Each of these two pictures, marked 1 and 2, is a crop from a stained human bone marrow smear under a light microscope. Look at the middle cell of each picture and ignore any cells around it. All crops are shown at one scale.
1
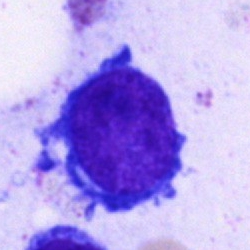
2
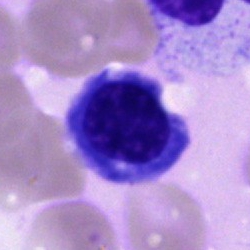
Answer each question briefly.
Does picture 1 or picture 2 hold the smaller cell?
2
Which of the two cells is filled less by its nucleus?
2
